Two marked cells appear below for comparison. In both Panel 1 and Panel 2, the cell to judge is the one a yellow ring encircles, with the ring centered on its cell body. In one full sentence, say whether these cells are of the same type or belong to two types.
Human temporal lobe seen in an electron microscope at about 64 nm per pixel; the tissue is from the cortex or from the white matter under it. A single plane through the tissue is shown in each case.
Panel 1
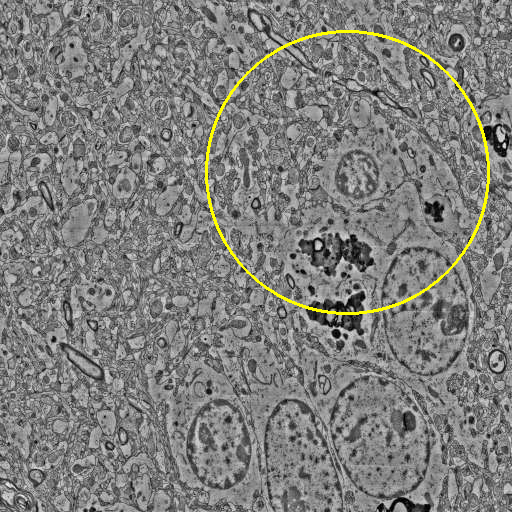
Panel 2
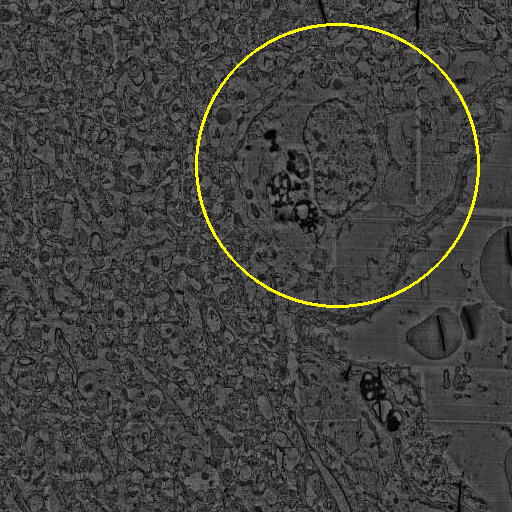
The cell centered in the Panel 1 ring and the one in Panel 2 are of the same type.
